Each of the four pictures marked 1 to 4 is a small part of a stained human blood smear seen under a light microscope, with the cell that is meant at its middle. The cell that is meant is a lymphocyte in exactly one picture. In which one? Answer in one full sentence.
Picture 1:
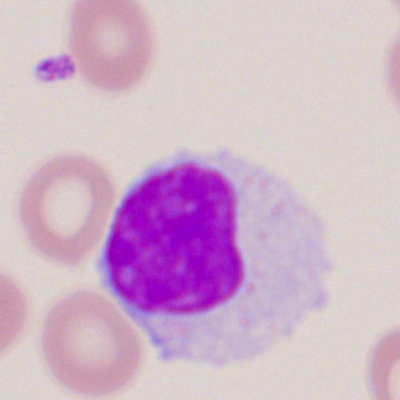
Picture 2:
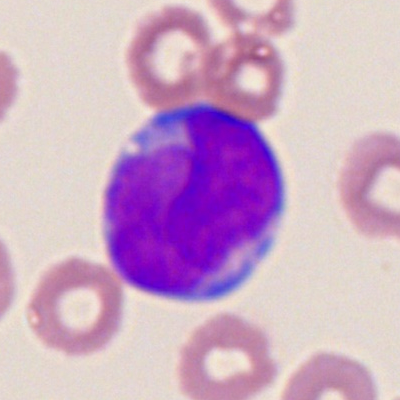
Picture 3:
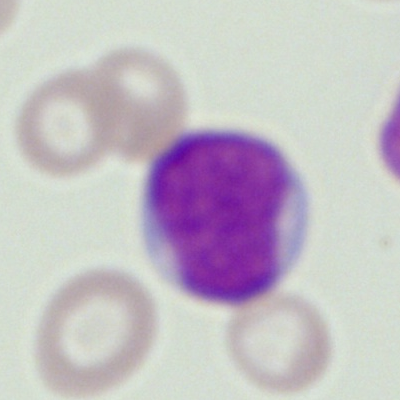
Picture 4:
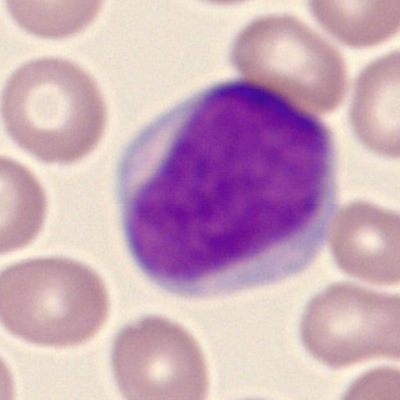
The picture with the lymphocyte is 1.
